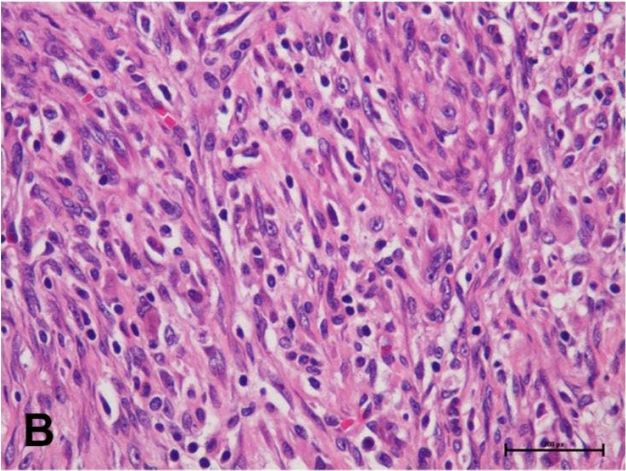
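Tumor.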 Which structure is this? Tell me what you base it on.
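Elongated cells with oval nuclei arranged in parallel streaming bundles. Bundles run in differing directions across the field.
Hence: fascicular growth pattern.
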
